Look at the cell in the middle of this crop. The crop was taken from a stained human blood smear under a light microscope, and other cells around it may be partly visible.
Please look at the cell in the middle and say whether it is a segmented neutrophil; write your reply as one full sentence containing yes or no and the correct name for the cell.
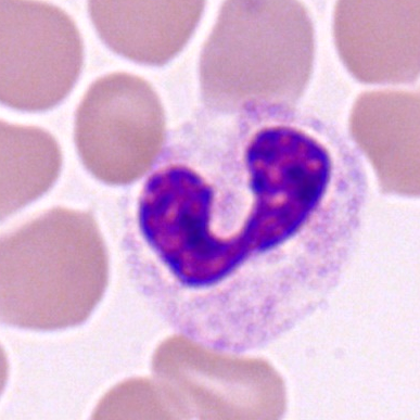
No, the centred cell is a band neutrophil, and it is not a segmented neutrophil.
